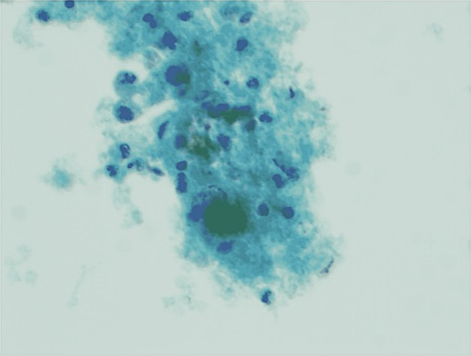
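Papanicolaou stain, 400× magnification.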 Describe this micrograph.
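This cytology preparation shows a large loose cluster of foamy macrophages with pigment in their cytoplasm. The cluster is a sheet of pale blue-green, wispy, foamy cytoplasm in which many small dark blue oval nuclei are embedded. Dark greenish clumps of pigment lie within the cytoplasm, the largest near the lower middle of the cluster. The background around the cluster is clear with only a few strands of material.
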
